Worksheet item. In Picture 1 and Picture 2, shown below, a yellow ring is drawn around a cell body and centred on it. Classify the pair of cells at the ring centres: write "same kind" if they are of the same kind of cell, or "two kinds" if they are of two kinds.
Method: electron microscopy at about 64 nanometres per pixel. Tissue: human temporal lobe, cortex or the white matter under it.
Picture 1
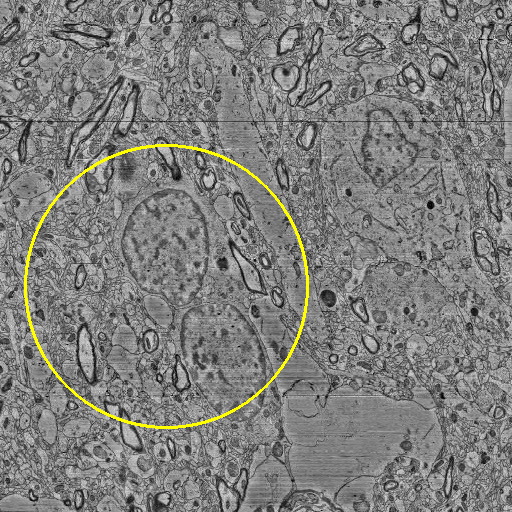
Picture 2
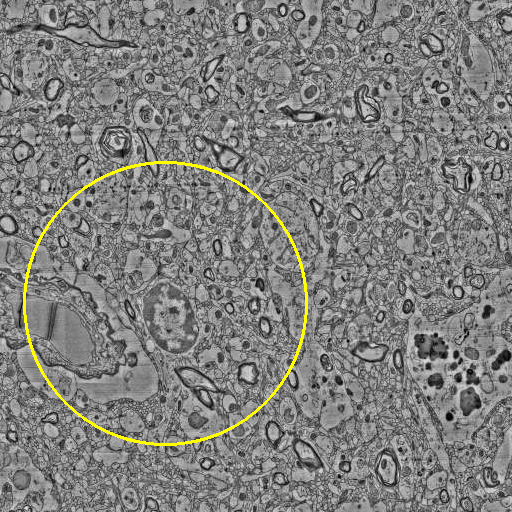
two kinds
